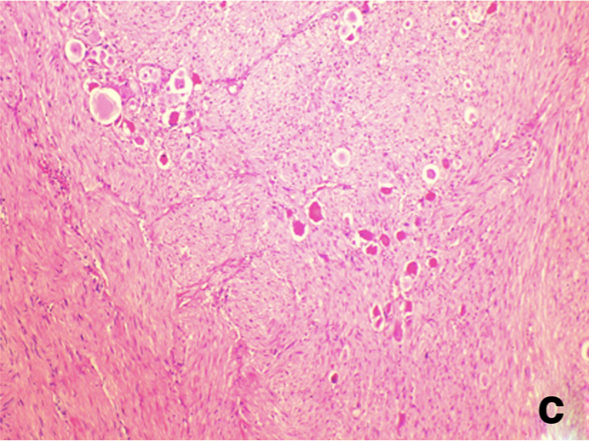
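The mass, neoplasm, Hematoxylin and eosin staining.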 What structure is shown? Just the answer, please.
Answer: Nerve bundles.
